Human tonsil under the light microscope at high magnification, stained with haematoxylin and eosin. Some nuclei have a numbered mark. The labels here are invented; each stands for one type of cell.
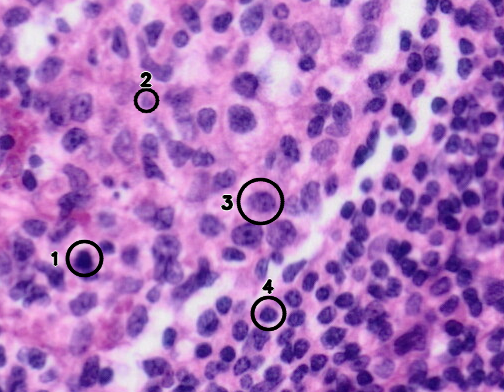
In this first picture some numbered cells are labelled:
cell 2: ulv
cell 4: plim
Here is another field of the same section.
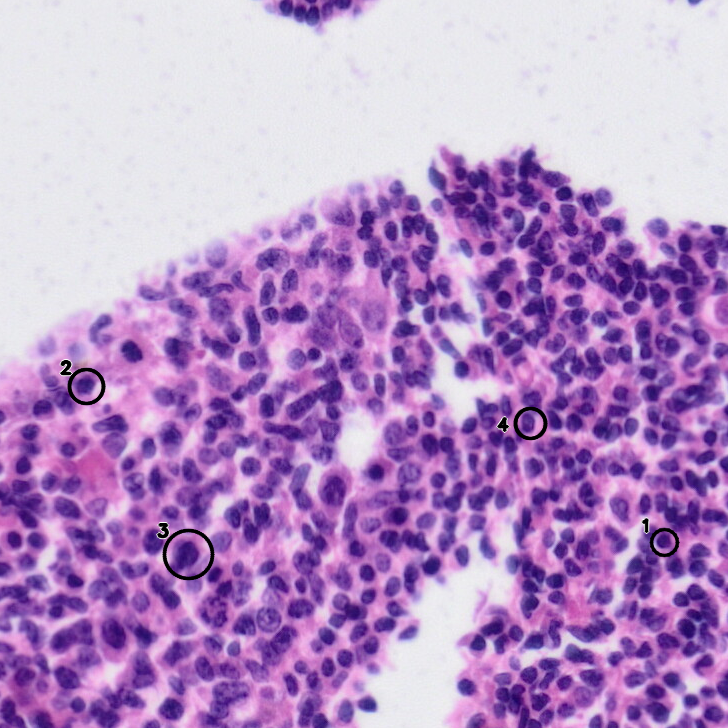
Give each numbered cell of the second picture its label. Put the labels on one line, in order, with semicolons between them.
plim; ulv; ulv; plim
